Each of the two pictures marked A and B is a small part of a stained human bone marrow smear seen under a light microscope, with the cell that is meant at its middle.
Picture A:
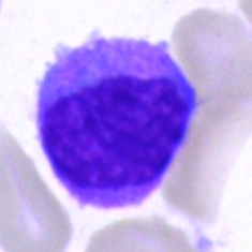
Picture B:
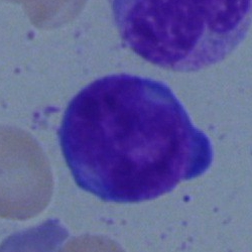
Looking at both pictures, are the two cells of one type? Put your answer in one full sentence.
No; the cell in picture A is a monocyte, while the one in picture B is a blast.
